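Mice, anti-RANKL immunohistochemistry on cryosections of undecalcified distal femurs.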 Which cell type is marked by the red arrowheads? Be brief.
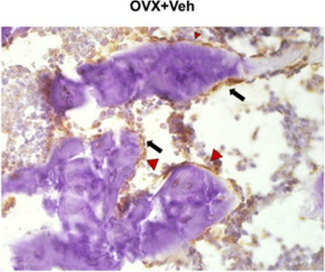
Lining cells.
